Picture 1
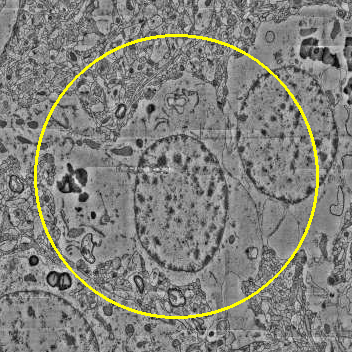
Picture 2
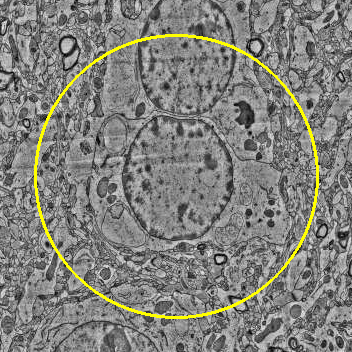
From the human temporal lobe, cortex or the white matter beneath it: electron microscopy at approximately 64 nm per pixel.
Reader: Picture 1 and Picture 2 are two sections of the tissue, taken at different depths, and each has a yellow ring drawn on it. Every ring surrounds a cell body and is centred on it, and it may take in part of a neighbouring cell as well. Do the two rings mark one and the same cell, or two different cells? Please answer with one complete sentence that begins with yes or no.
No, a different cell sits inside each of the two rings.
